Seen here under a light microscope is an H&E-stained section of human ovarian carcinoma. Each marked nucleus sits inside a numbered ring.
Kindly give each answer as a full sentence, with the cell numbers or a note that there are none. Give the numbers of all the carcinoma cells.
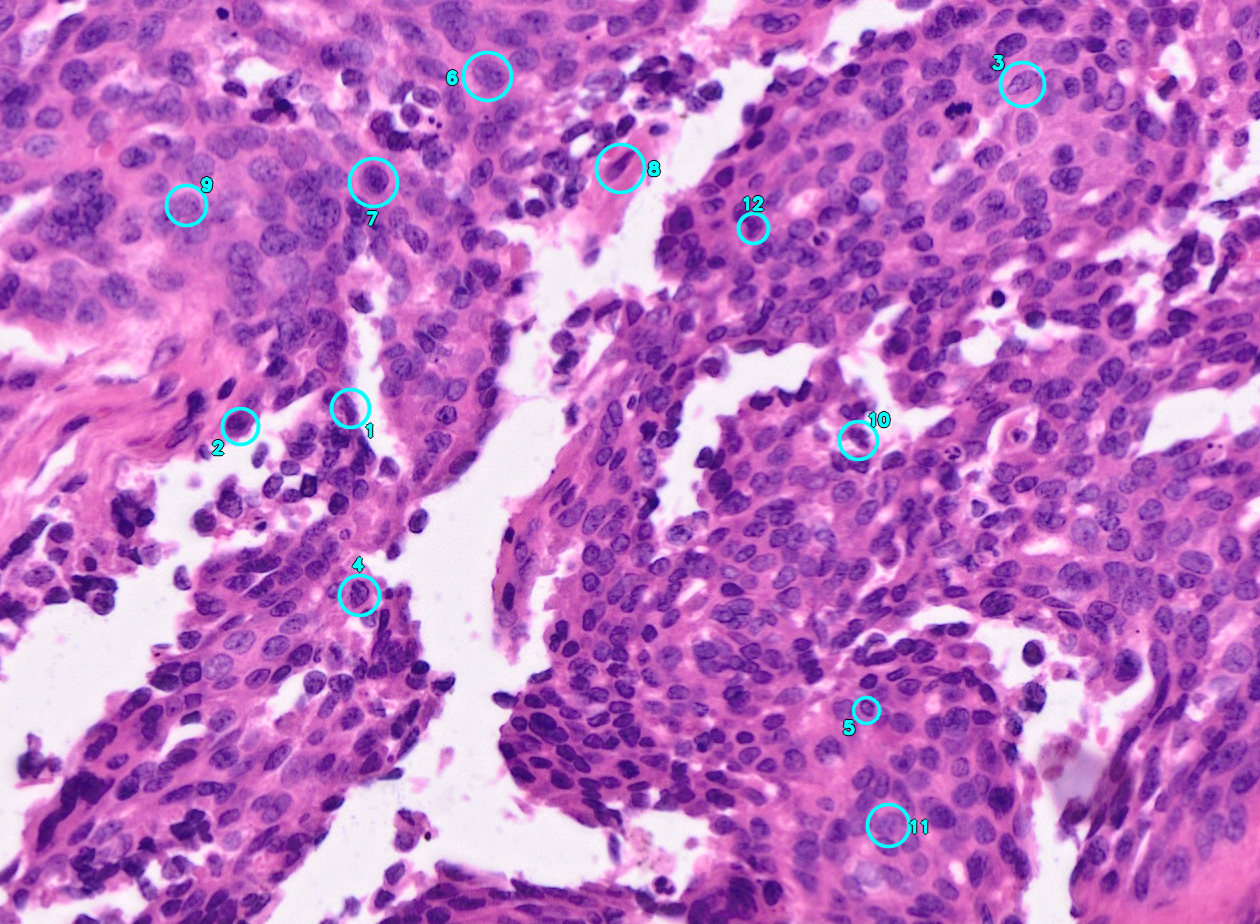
The cells with labels 1, 2, 6, 7, 9, 11 and 12 are carcinoma cells.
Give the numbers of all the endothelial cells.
Just one of the numbered cells is an endothelial cell, namely number 8.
